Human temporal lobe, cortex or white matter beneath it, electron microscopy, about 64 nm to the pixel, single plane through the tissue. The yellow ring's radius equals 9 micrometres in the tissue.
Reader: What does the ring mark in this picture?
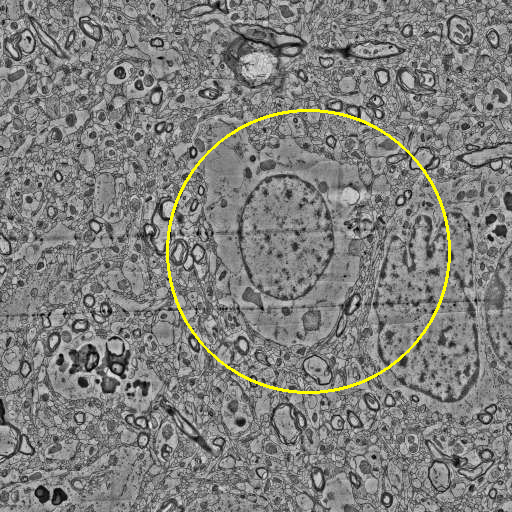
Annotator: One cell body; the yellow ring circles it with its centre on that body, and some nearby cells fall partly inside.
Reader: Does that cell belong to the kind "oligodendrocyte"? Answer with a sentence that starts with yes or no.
No, the cell at the ring's centre in this picture is of another kind.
